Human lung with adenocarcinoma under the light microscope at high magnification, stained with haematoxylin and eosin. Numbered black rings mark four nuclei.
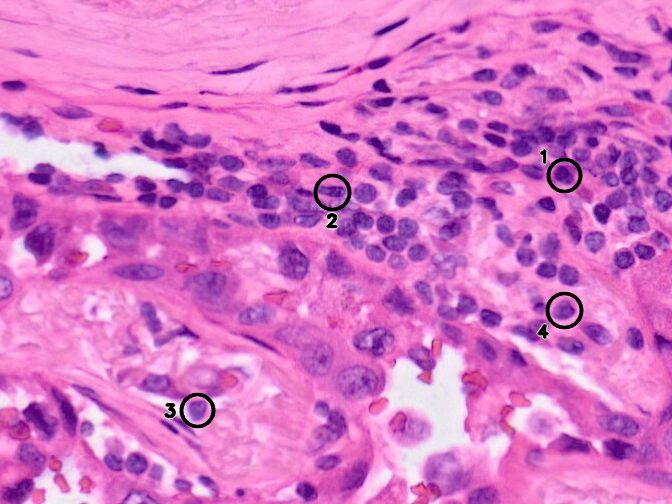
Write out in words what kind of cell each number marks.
Cell 1 is a plasma cell, cell 2 is a lymphocyte, cell 3 is a lymphocyte and cell 4 is a lymphocyte.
